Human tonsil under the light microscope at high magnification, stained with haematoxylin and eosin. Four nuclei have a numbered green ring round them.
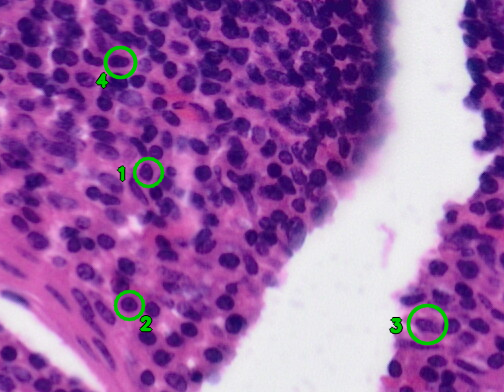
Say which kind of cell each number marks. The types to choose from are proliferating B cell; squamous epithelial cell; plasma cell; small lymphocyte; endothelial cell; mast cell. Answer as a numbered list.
1. plasma cell
2. plasma cell
3. squamous epithelial cell
4. plasma cell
